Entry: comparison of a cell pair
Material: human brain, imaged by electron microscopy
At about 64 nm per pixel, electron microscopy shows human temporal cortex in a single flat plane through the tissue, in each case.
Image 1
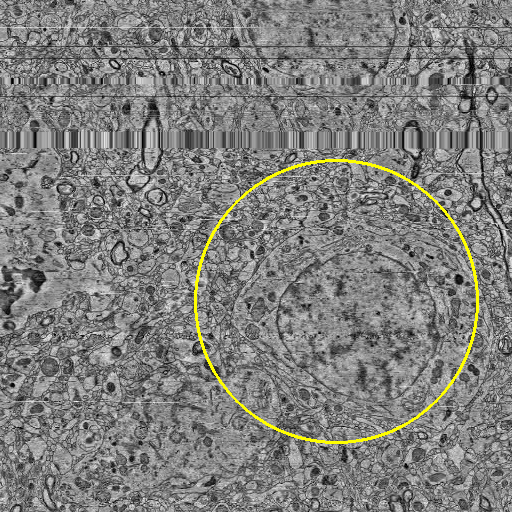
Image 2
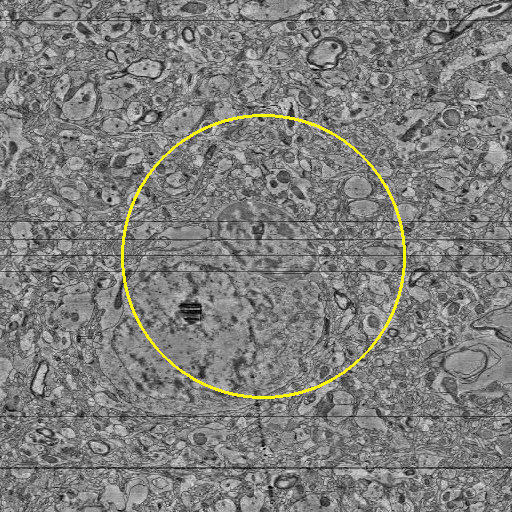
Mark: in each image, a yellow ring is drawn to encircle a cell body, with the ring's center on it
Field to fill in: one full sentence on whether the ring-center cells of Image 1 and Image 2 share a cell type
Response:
No, Image 1 and Image 2 show ring-center cells of two separate types.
